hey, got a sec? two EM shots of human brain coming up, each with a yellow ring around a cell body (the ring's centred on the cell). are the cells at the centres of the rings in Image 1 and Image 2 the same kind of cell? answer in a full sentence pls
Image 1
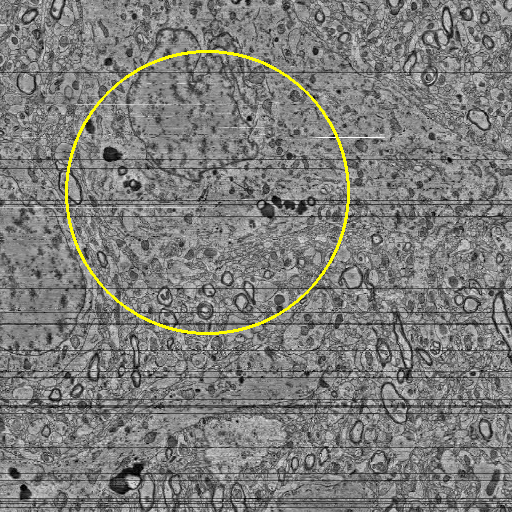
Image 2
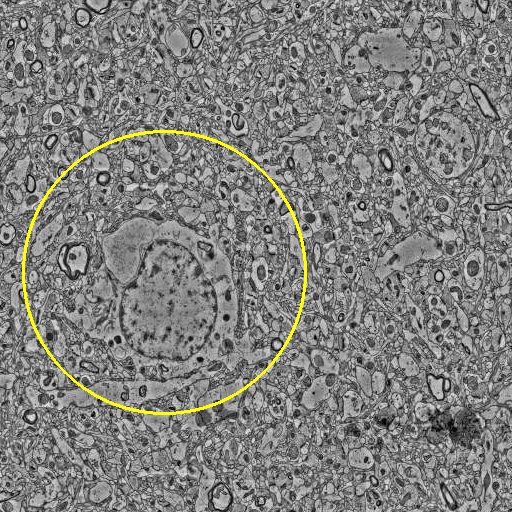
No, they are two kinds of cell.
